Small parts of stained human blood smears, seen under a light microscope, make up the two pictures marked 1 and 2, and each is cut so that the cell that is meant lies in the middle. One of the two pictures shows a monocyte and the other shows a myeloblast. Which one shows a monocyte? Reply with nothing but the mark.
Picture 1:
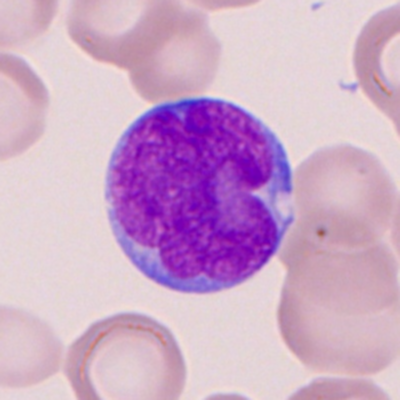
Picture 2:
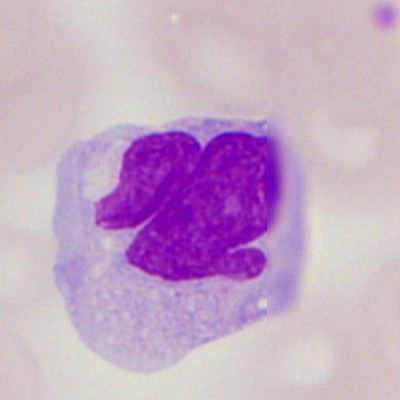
2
